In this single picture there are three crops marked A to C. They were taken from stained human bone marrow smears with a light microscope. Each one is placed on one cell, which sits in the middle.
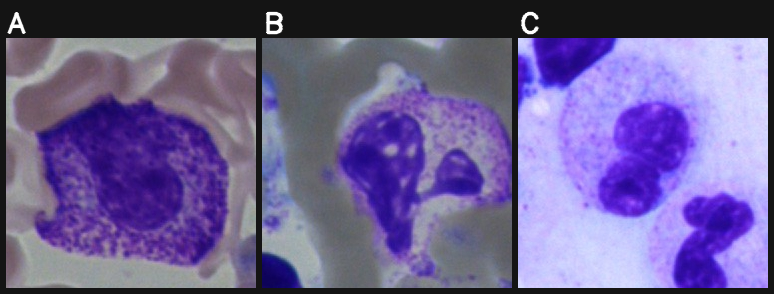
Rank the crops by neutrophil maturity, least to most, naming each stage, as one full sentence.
Ordered by maturity, from least to most, the crops are crop A (a myelocyte), crop C (a band neutrophil) and crop B (a segmented neutrophil).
